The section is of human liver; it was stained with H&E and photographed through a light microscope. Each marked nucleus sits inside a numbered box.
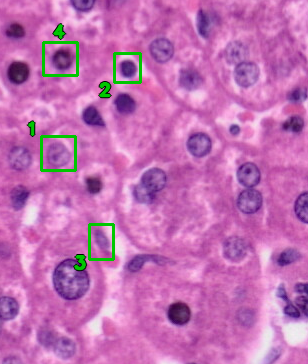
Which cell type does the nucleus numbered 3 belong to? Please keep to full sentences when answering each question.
The cell numbered 3 has been identified as a Kupffer cell.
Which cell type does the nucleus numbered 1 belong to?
Recognised here as a hepatocyte is the cell numbered 1.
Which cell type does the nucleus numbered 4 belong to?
Nucleus 4 in this section belongs to a hepatocyte.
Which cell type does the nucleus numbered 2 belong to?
The numbered cell 2 is identified here as a lymphocyte.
